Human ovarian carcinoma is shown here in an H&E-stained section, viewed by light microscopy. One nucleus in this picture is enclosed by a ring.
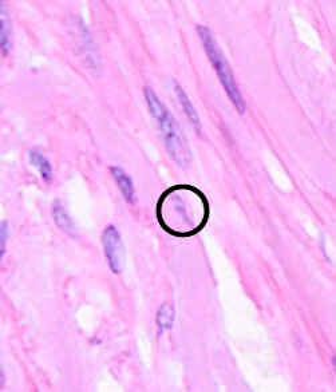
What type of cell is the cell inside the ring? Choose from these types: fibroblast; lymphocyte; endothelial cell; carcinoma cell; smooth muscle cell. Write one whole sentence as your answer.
Histopathologically, the cell inside the ring is a fibroblast.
